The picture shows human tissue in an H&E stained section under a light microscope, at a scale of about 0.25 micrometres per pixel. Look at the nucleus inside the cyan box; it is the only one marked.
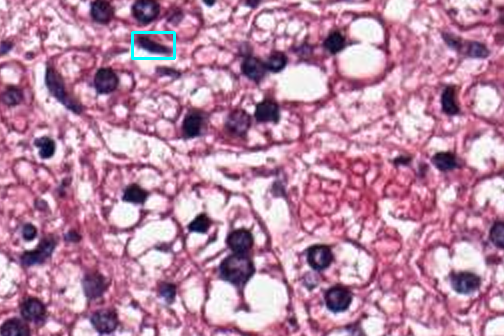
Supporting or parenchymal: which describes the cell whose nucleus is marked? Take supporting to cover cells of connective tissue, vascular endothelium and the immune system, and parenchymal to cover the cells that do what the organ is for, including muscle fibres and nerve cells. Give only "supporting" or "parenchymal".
supporting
